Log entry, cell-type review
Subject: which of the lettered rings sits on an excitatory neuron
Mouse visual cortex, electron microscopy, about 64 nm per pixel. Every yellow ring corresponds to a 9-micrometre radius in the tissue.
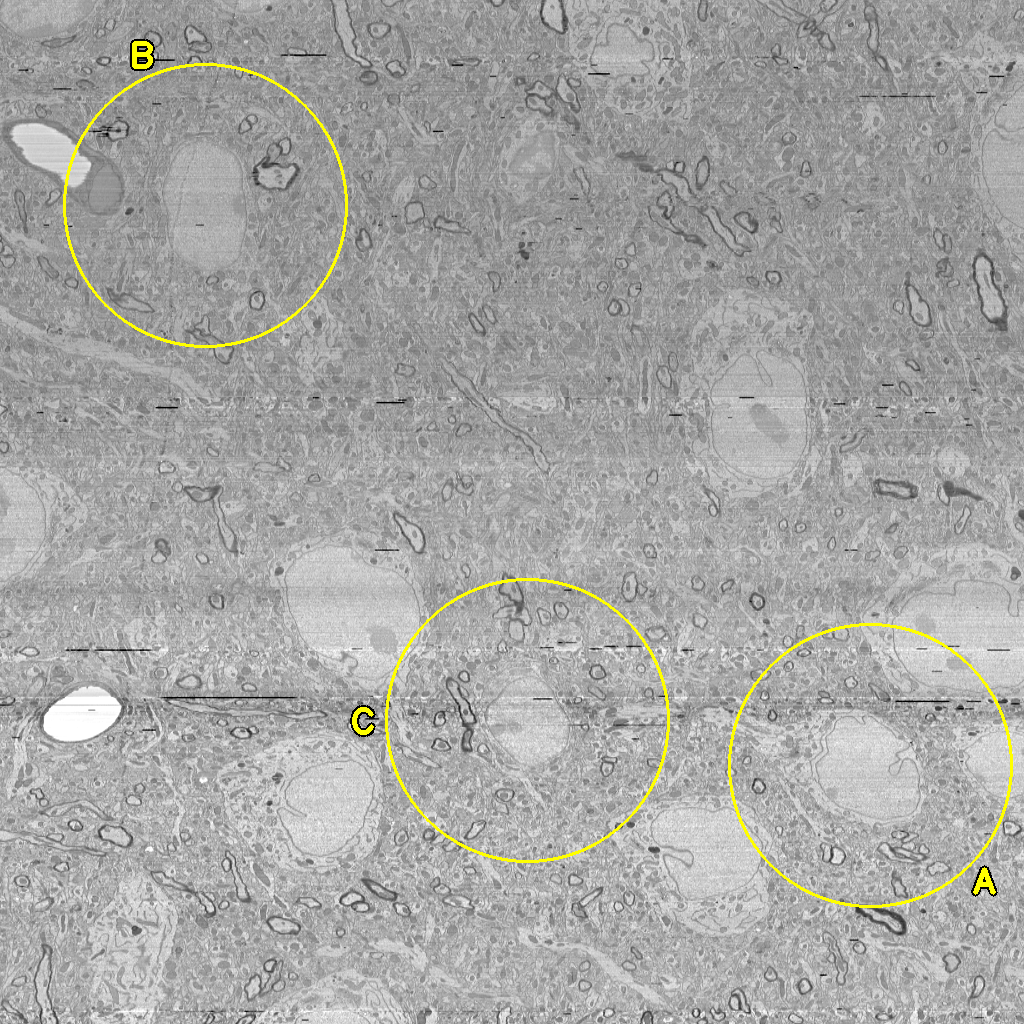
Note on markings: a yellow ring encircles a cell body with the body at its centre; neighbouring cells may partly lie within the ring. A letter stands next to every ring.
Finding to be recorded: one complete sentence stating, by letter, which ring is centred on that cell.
The cell sits at the centre of ring A.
